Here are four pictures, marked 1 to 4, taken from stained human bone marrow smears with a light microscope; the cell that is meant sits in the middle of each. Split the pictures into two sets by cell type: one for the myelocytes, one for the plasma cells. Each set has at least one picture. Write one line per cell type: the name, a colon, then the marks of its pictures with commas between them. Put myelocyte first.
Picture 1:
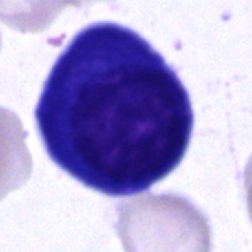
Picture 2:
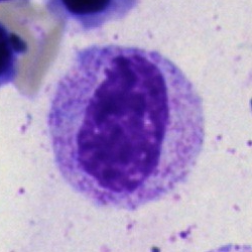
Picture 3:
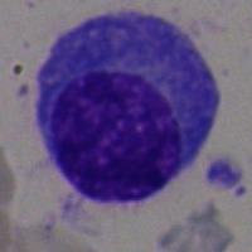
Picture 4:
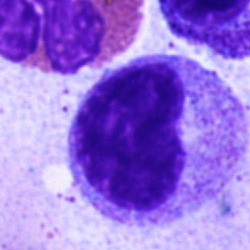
myelocyte: 2, 4
plasma cell: 1, 3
